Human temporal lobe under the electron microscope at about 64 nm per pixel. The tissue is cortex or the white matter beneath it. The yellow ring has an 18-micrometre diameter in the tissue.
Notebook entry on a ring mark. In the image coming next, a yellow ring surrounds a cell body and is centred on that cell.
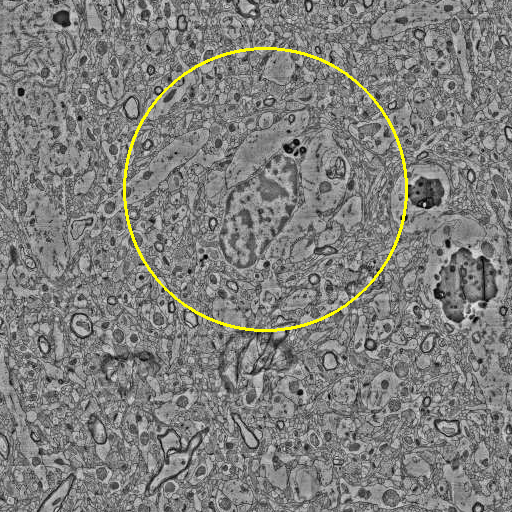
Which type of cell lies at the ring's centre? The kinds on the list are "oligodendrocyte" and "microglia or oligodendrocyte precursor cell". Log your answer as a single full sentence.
Centred in the yellow ring is a microglial cell or oligodendrocyte precursor cell, the cell recorded for this image.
